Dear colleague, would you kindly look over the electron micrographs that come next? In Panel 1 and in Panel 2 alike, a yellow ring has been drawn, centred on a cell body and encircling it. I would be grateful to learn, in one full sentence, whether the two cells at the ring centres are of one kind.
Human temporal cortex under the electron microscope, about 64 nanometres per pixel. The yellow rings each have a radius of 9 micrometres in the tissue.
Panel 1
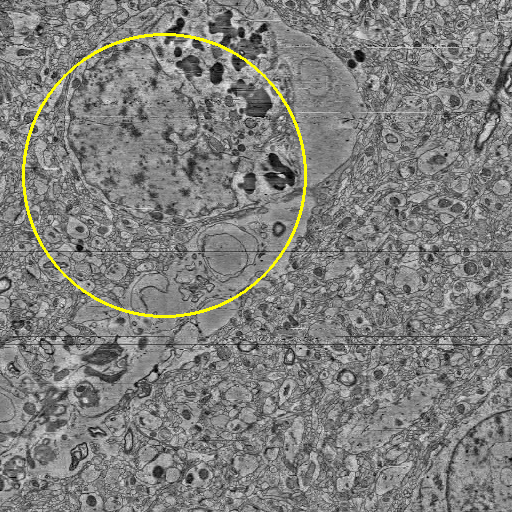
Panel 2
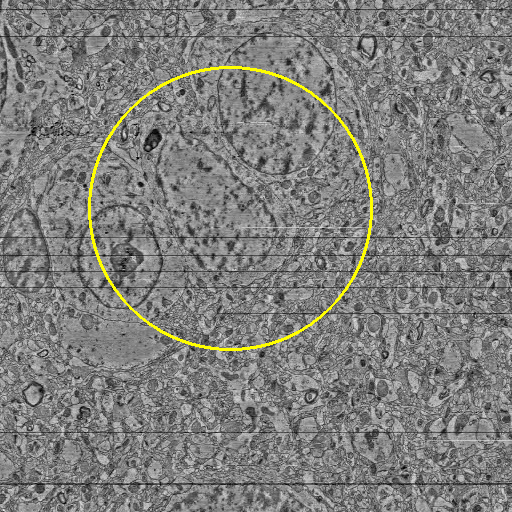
Yes, the cells in the middle of the rings in the two panels are of one kind.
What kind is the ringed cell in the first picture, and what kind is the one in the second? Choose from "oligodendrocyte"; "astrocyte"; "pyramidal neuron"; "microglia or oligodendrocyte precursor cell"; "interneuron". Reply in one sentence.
Both the first and the second picture show an interneuron in the ring.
